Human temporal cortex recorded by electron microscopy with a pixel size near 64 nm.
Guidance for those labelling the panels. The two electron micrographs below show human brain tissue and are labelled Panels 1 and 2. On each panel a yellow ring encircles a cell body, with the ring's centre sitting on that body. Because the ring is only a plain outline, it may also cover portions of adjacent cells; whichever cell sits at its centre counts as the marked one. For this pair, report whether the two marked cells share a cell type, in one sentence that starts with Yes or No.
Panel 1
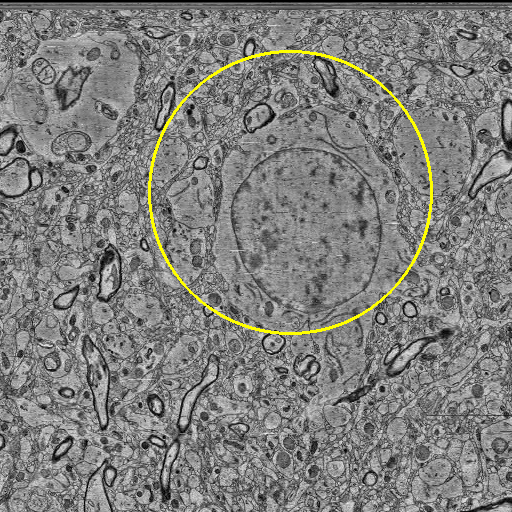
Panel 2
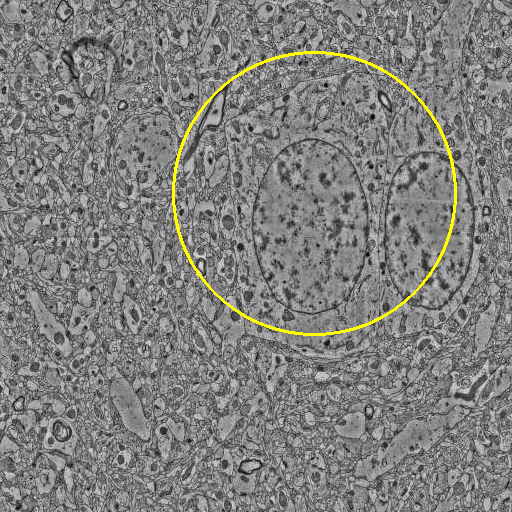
No, in Panel 1 and Panel 2 the marked cells at the ring centres are of two types.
